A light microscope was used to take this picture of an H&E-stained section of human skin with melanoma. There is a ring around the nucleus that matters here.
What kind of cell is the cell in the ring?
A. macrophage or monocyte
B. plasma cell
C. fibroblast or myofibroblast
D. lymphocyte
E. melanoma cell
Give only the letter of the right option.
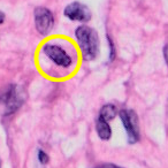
D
